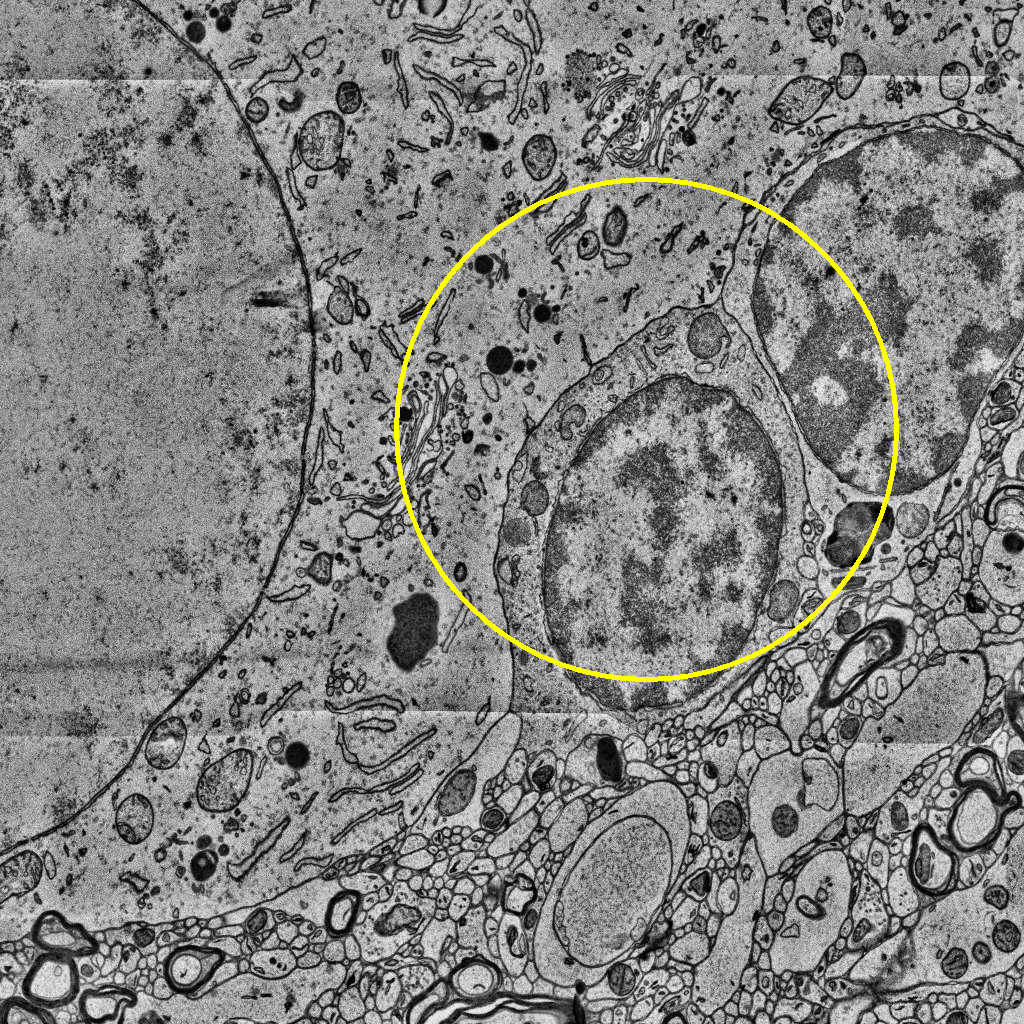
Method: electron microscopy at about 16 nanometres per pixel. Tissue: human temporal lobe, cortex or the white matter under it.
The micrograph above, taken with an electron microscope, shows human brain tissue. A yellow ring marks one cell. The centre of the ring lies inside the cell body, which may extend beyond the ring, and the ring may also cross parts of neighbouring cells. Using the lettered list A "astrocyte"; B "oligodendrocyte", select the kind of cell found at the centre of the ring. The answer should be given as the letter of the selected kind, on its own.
B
